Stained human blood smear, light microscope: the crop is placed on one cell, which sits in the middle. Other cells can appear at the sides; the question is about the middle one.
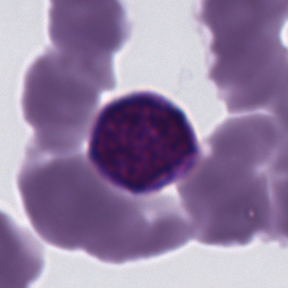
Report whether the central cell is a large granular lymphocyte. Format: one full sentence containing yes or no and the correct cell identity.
No, the cell centered in the crop is a myeloblast, not a large granular lymphocyte.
